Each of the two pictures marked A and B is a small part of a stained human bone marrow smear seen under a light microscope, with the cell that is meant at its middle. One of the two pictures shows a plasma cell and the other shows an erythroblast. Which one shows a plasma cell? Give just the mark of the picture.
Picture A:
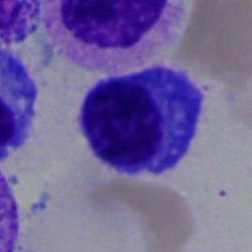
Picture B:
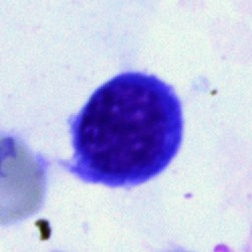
A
